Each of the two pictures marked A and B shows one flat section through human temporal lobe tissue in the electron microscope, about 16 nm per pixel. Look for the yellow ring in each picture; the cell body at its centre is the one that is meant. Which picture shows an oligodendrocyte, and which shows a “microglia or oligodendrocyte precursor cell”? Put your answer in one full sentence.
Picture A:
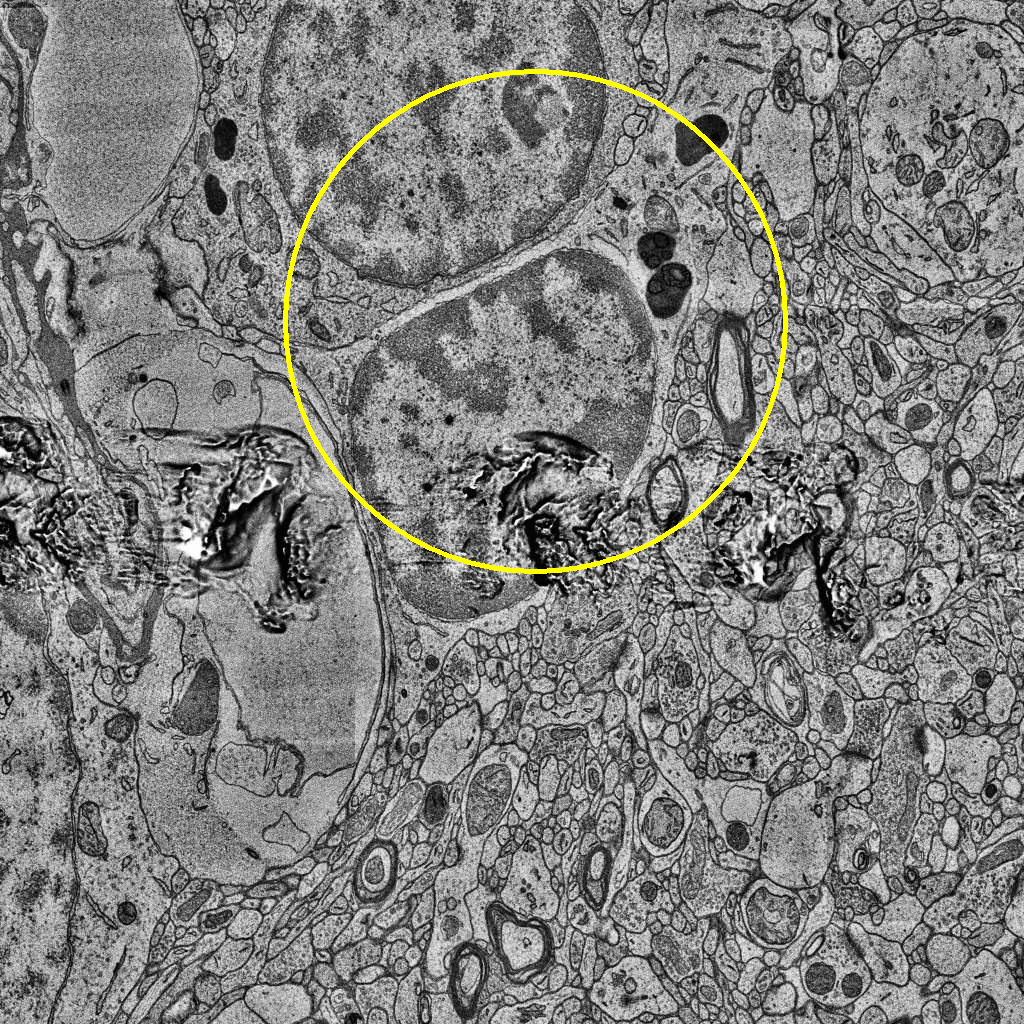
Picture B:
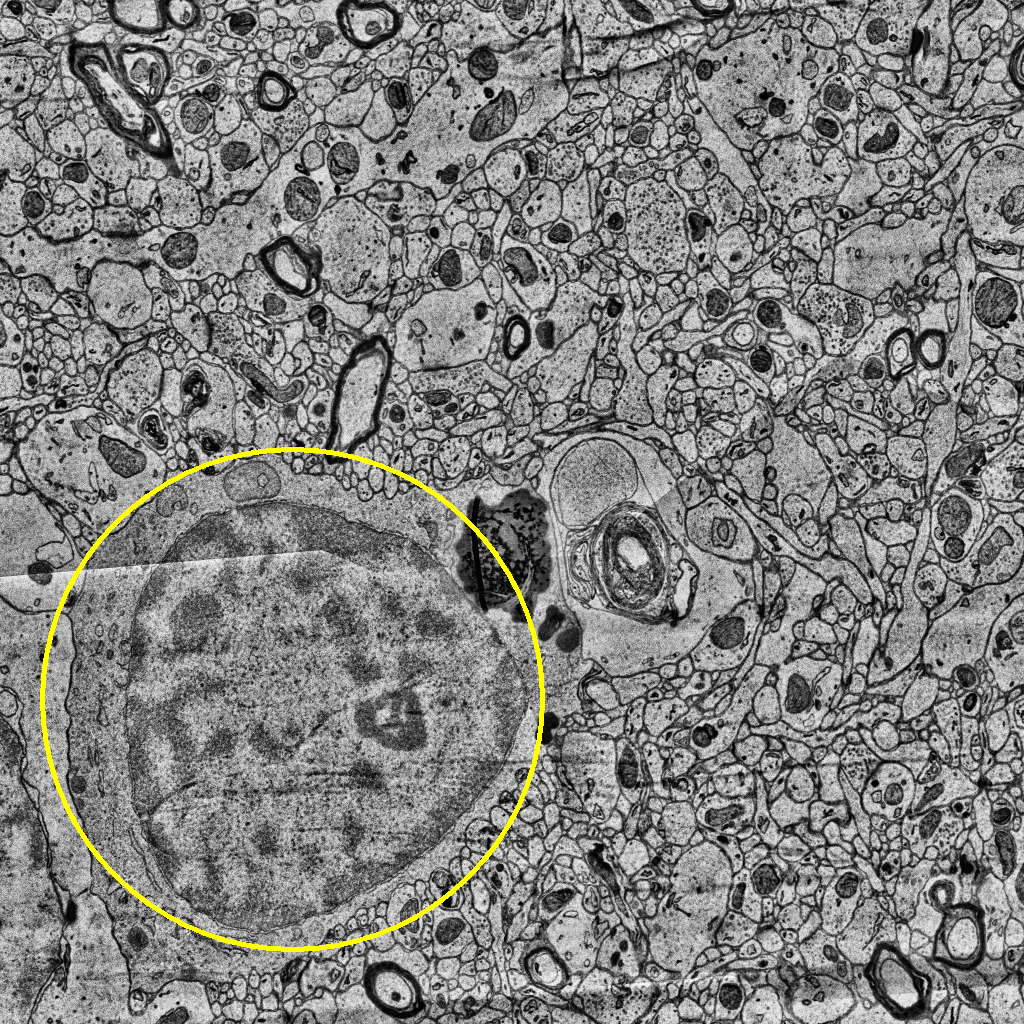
In picture A the cell is a “microglia or oligodendrocyte precursor cell”; in picture B, an oligodendrocyte.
